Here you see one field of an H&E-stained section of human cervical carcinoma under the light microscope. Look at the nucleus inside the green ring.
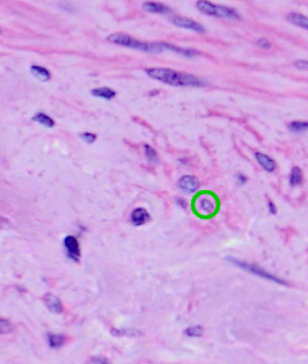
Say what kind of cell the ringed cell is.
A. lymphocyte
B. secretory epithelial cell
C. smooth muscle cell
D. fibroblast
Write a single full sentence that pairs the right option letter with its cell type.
The correct pick is option C; the ringed cell is a smooth muscle cell.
